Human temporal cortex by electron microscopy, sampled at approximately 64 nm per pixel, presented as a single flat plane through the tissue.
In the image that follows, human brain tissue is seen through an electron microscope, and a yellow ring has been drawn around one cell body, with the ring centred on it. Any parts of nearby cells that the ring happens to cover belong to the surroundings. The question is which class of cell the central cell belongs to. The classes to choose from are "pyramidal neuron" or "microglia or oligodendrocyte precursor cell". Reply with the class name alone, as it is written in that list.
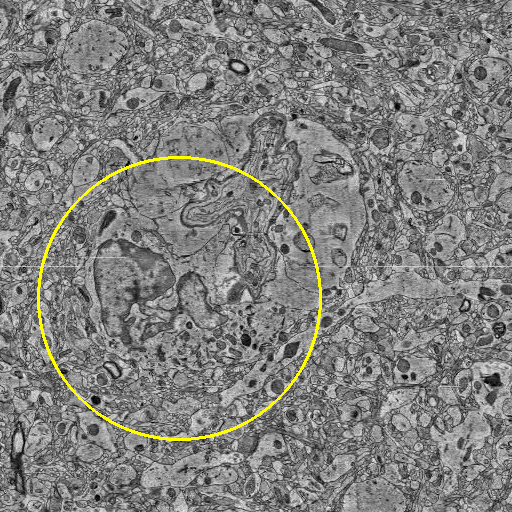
microglia or oligodendrocyte precursor cell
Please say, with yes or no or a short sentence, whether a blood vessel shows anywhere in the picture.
Yes, a blood vessel shows in the picture.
